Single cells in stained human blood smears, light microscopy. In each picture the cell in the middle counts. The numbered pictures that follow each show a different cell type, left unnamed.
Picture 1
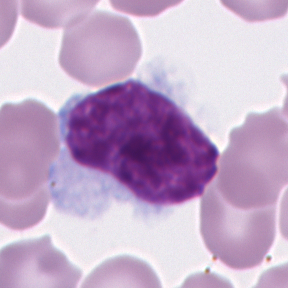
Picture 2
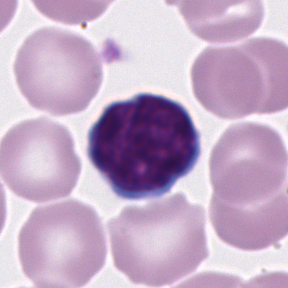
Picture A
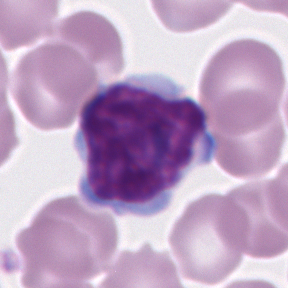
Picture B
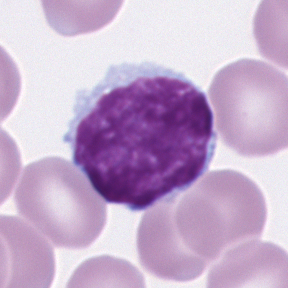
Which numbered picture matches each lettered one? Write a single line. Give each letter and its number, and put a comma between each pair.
A 2, B 2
